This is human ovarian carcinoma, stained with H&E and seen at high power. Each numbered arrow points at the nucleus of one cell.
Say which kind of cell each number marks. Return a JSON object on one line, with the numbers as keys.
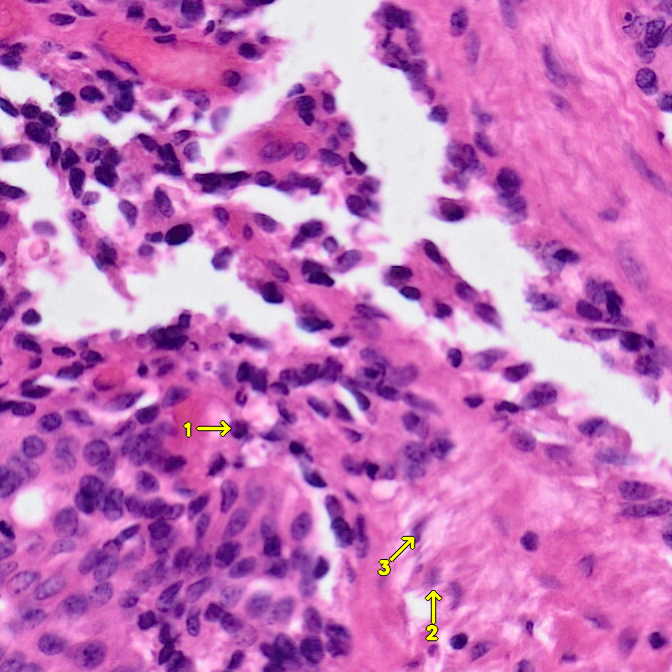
{"1": "macrophage or monocyte", "2": "fibroblast", "3": "fibroblast"}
